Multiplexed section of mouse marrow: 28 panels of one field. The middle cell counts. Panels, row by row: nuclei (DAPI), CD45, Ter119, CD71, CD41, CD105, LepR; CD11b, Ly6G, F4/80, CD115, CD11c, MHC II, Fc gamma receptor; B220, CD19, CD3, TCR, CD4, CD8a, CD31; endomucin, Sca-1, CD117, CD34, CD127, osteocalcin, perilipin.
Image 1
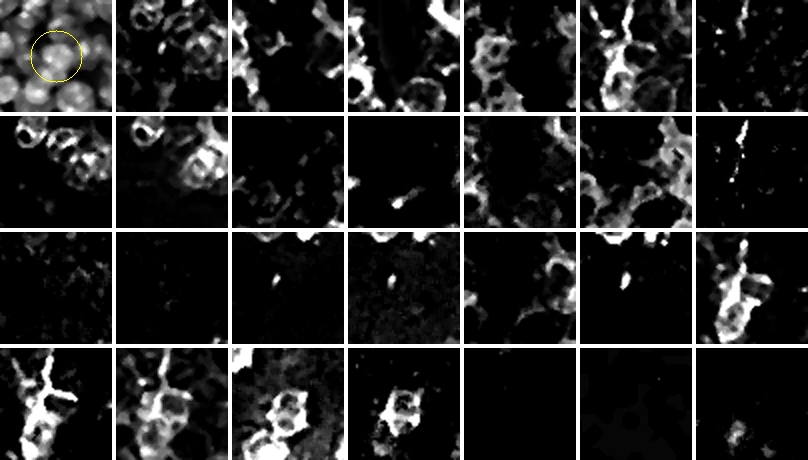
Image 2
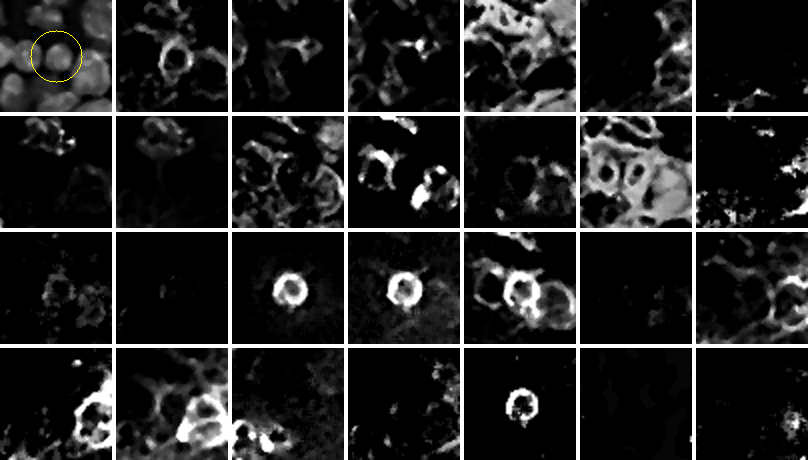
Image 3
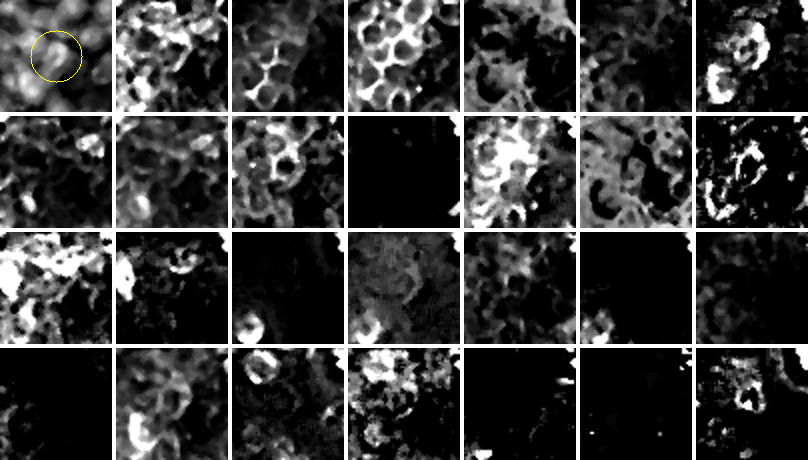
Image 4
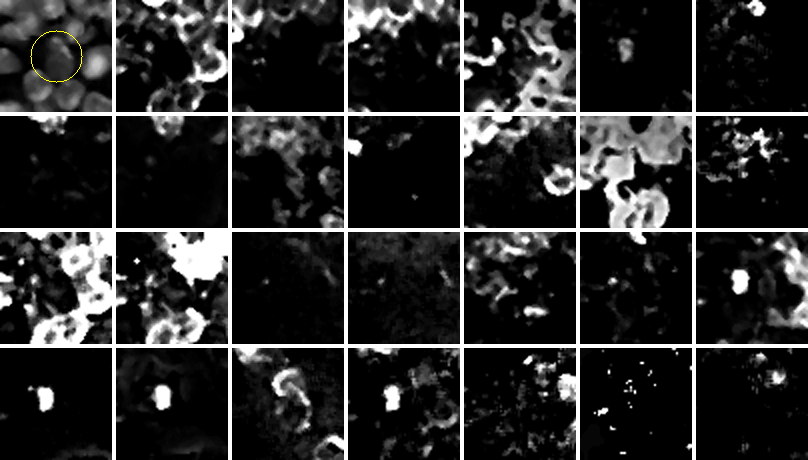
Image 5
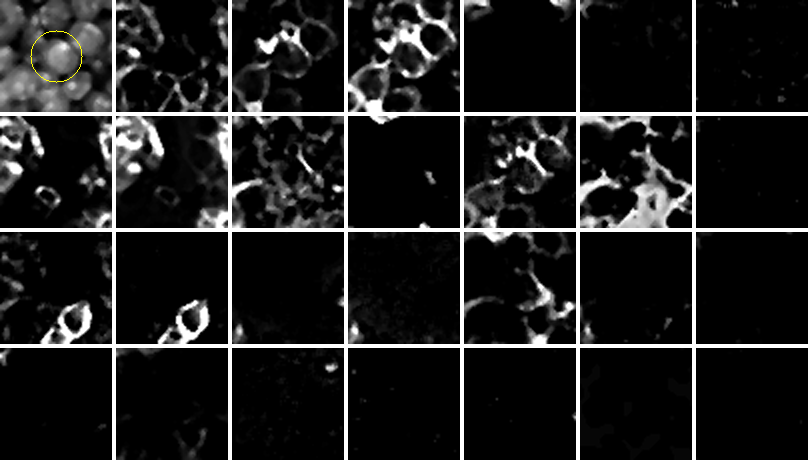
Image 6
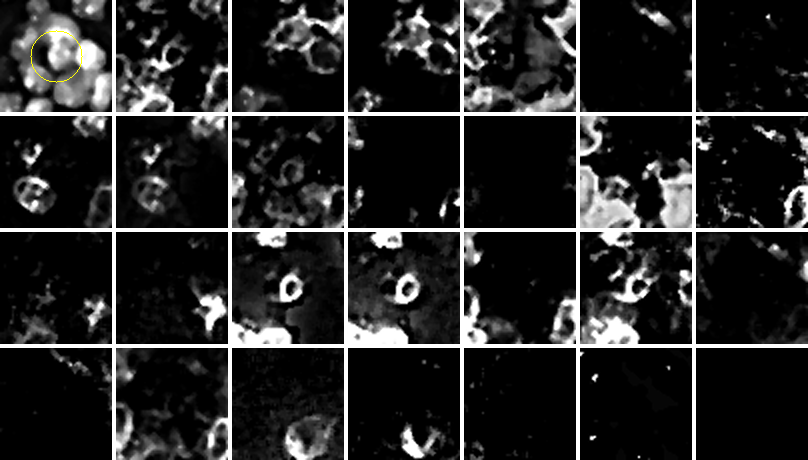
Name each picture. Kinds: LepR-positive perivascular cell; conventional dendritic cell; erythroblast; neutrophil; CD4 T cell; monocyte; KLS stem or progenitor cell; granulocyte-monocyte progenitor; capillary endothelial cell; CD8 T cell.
Picture 1: KLS stem or progenitor cell
Picture 2: CD4 T cell
Picture 3: conventional dendritic cell
Picture 4: KLS stem or progenitor cell
Picture 5: erythroblast
Picture 6: CD8 T cell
